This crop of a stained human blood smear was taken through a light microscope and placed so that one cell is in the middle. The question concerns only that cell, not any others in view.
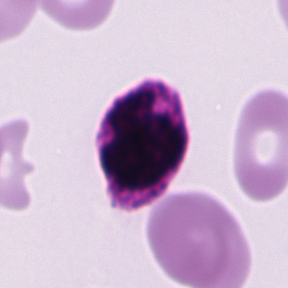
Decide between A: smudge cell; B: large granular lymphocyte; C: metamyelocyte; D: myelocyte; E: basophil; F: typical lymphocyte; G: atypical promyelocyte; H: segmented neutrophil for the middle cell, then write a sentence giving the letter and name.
Of the choices given, option E is right, as the central cell is a basophil.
